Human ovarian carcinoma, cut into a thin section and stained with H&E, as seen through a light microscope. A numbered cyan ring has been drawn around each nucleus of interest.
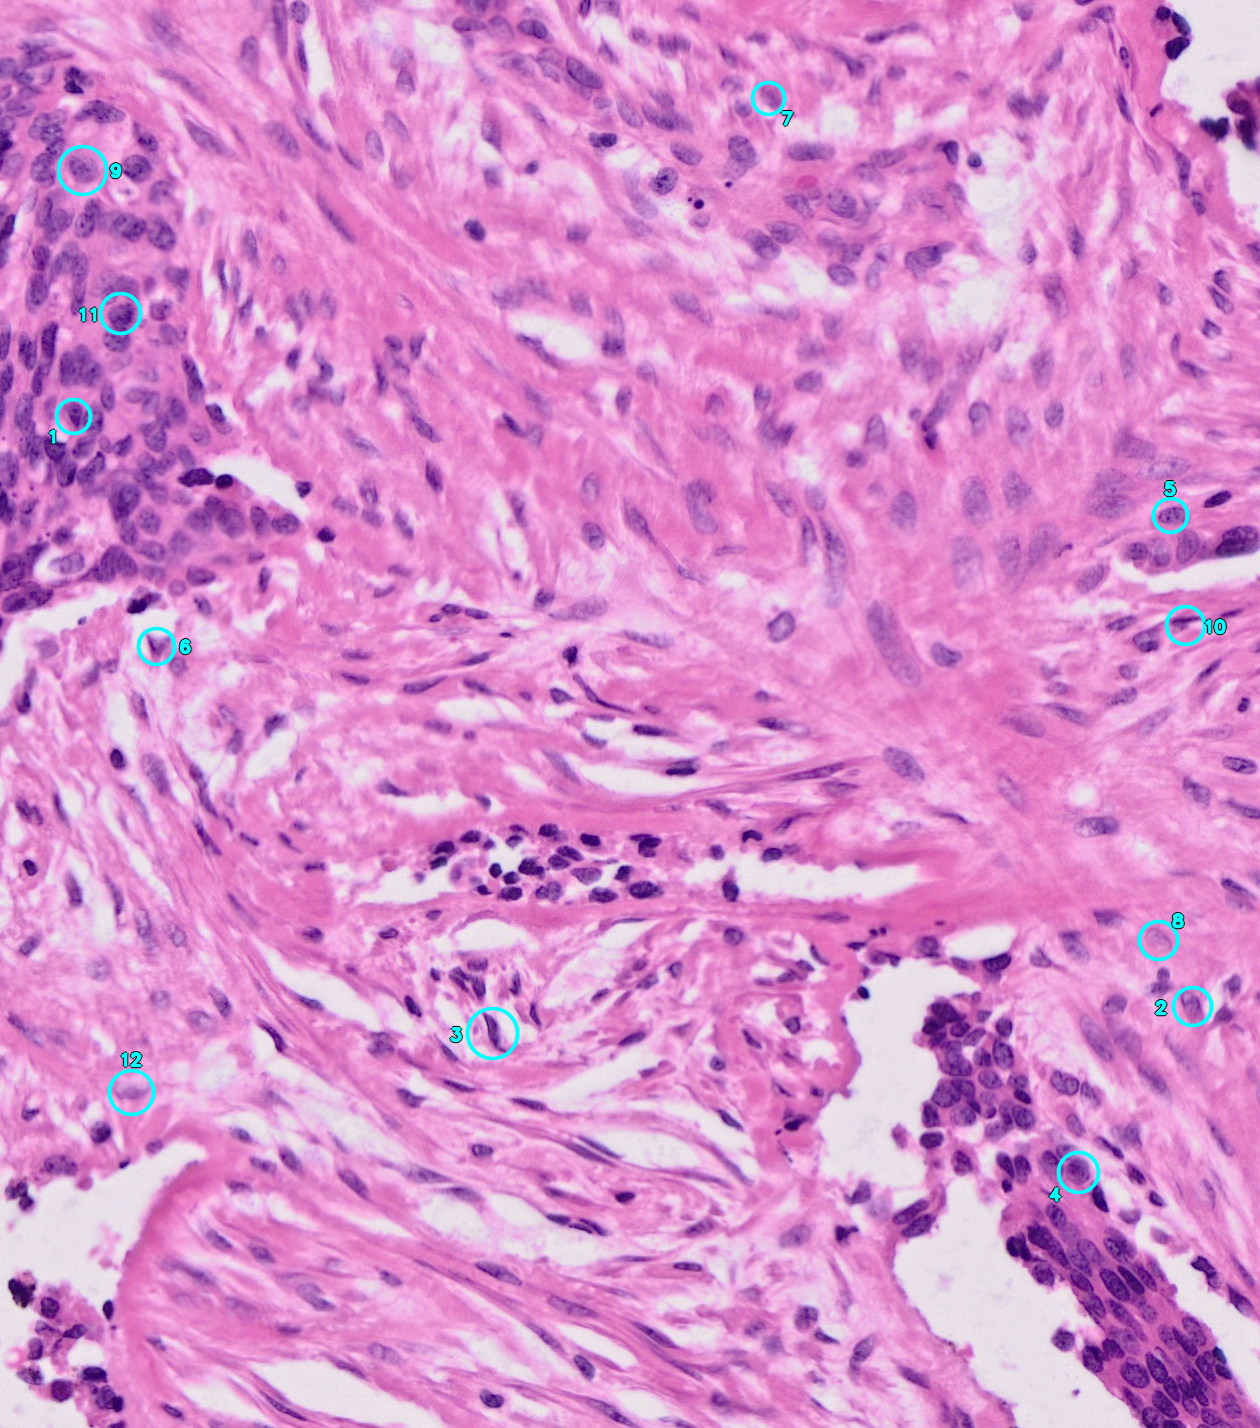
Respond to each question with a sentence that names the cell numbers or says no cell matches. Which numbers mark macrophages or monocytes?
A single numbered cell, cell 5, is a macrophage or monocyte.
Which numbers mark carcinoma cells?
Into the category of carcinoma cells fall the cells numbered 1, 4, 9 and 11.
